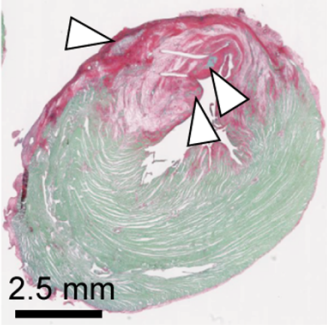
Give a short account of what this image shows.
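The lower and side walls are green myocardium with fibres running in curved streams. The upper wall is broad and largely red, forming a thick scarred region around a narrow slit-like cavity. The outer margin of the scar is also rimmed with red.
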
